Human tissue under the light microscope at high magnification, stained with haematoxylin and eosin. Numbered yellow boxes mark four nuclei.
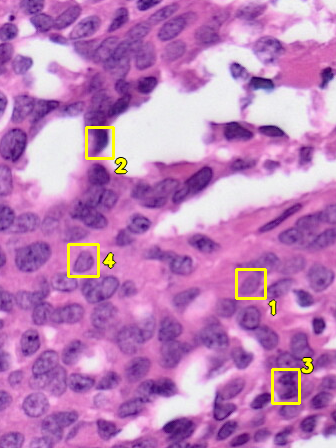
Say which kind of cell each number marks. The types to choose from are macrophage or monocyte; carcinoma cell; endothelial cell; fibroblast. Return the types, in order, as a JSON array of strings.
["carcinoma cell", "carcinoma cell", "carcinoma cell", "macrophage or monocyte"]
